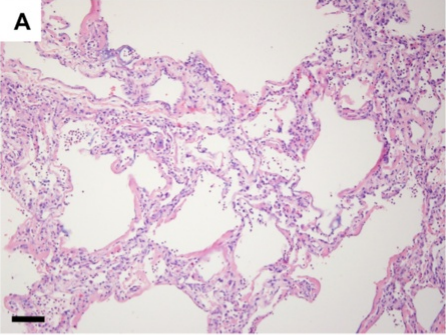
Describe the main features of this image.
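This is lung tissue with many rounded airspaces separated by septa stained pink with purple nuclei. The septa are irregular in thickness, and many appear broadened and crowded with nuclei. Along several walls runs a band of smooth, glassy pink material lining the airspace. The airspaces themselves are largely empty. Overall the lung architecture is preserved, but the walls look thickened and cellular.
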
